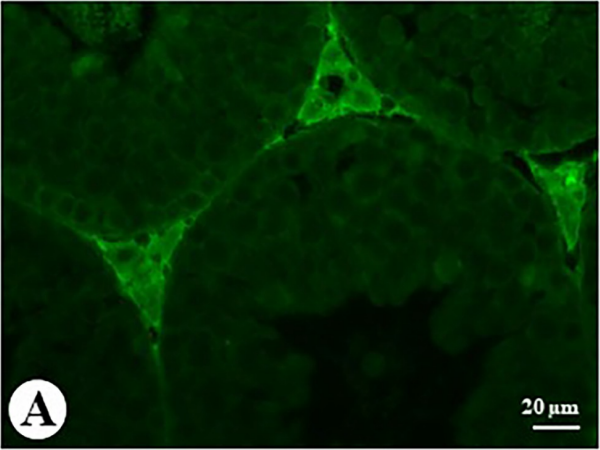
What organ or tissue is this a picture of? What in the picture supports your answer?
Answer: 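Several large round tubule cross-sections packed against each other. Small triangular spaces between the tubules hold clusters of cells. Tubules are filled with many layered rounded cells. So: testis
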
